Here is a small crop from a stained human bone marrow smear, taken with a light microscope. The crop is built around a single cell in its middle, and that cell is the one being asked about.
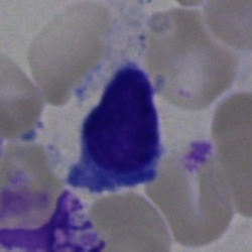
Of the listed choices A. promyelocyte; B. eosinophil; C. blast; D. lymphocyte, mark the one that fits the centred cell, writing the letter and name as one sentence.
Identification: the cell in the middle is a lymphocyte, matching option D.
